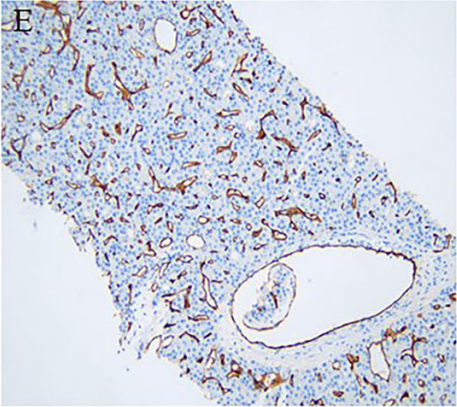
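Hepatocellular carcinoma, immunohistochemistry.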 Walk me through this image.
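A strip of tumour tissue in which the walls of very many small vessels are picked out in brown, forming a dense branching network between pale blue tumour cells. Toward the lower centre lies a large oval vessel with a thin brown-stained lining and a surrounding rim of pale connective tissue. Within its open lumen floats a small cluster of cells, detached from the wall, an appearance of tumour cells lying inside a vessel. Smaller open vessels with brown linings are scattered nearby, and the tissue outside the strip is empty background.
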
